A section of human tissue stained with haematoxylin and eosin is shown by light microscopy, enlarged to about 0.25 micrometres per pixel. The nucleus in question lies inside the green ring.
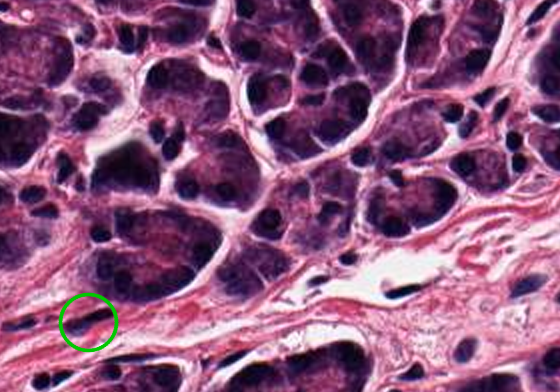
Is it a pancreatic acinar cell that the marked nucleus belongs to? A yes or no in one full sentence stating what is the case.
No, the cell to which the marked nucleus belongs is a supporting cell rather than a pancreatic acinar cell.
